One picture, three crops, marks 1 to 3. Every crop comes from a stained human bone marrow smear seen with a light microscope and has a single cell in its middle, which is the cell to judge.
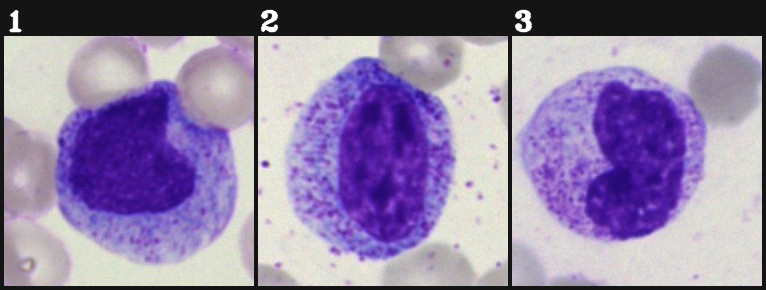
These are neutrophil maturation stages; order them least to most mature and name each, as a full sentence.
The order from least to most mature is crop 2 (a myelocyte), crop 1 (a metamyelocyte) and crop 3 (a band neutrophil).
